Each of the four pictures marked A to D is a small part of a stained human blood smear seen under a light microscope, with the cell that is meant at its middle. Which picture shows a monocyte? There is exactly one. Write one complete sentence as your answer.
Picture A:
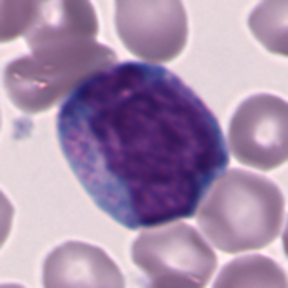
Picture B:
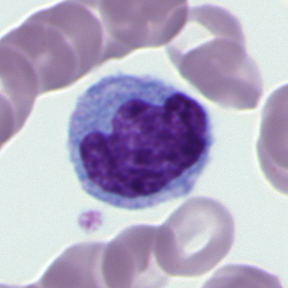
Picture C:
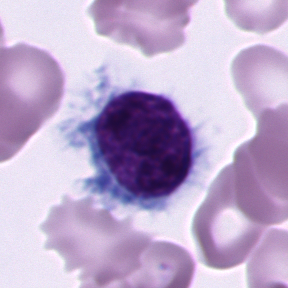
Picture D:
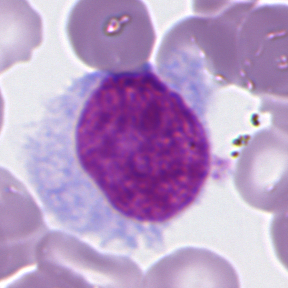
Picture B shows the monocyte.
